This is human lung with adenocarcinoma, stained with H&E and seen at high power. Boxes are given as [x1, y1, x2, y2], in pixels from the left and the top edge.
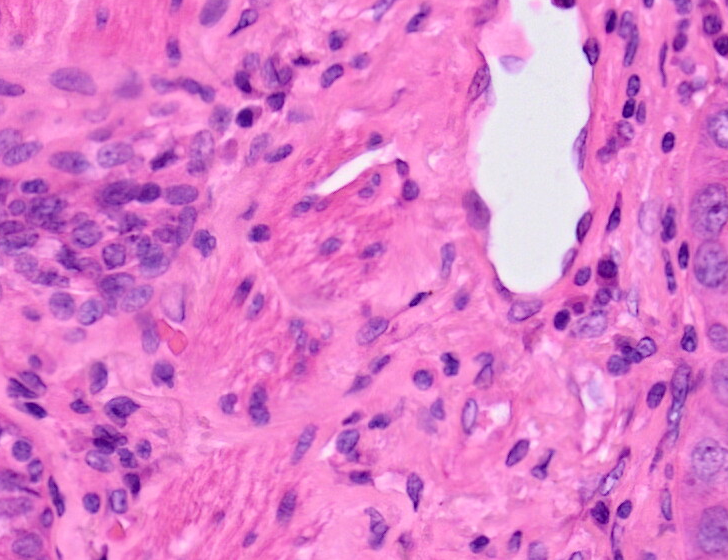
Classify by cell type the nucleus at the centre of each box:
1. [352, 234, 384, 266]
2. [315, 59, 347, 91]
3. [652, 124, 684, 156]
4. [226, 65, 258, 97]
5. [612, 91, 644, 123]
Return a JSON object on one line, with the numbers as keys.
{"1": "smooth muscle cell or pericyte", "2": "mast cell", "3": "lymphocyte", "4": "plasma cell", "5": "lymphocyte"}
